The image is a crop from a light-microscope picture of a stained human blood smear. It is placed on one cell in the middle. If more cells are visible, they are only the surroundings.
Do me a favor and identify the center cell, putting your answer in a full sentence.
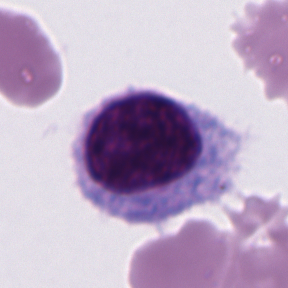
In the centre of this crop there is a hairy cell.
